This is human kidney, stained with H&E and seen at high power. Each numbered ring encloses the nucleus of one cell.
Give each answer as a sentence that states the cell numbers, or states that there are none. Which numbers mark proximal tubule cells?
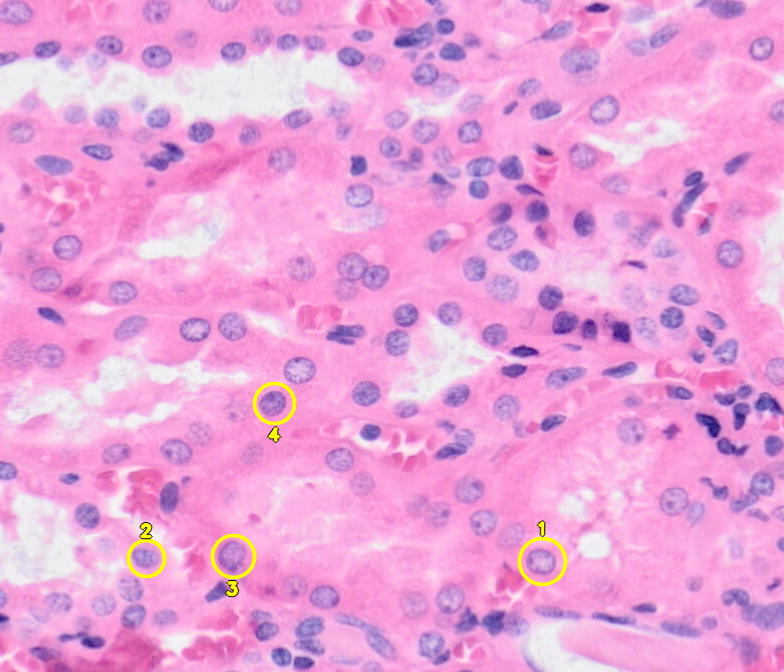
The cells marked by the numbers 1, 3 and 4 are proximal tubule cells.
